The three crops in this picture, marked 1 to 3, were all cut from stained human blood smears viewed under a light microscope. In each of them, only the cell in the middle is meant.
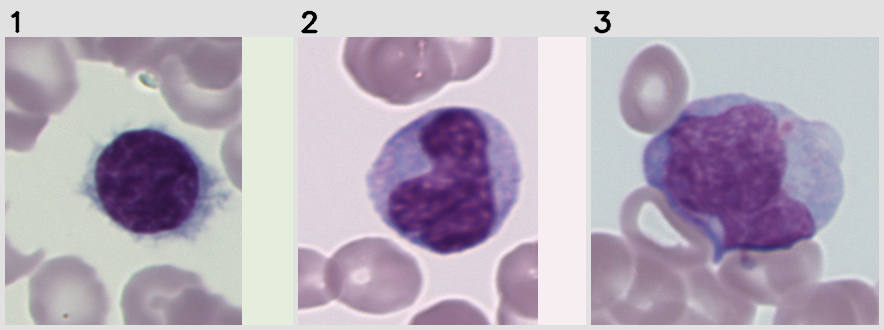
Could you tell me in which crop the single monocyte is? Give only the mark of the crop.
2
